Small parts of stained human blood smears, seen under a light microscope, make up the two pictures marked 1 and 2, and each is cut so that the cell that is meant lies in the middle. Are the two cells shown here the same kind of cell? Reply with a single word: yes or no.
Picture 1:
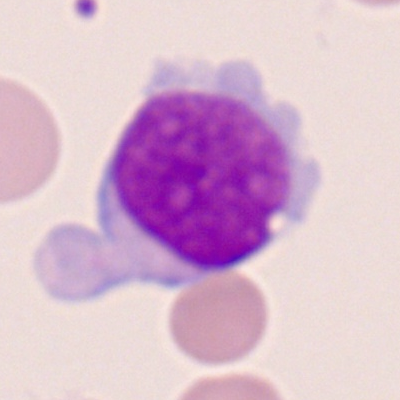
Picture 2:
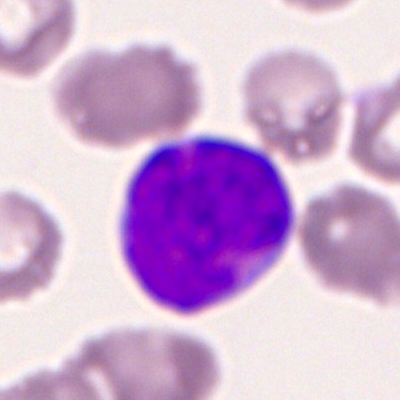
yes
